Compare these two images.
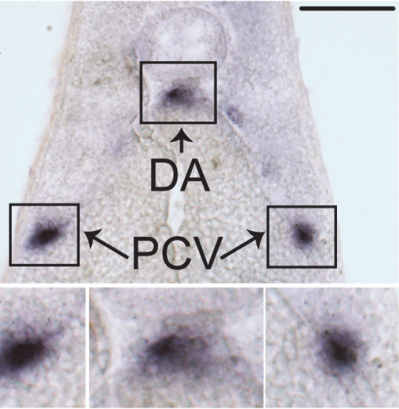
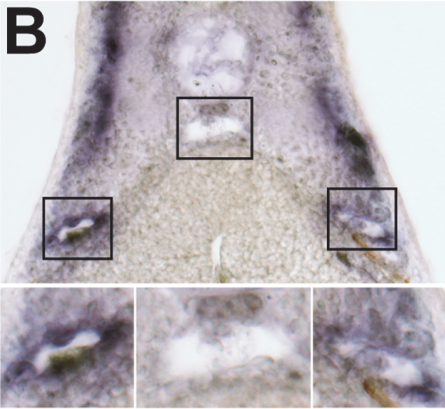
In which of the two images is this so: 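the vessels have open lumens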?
the second image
